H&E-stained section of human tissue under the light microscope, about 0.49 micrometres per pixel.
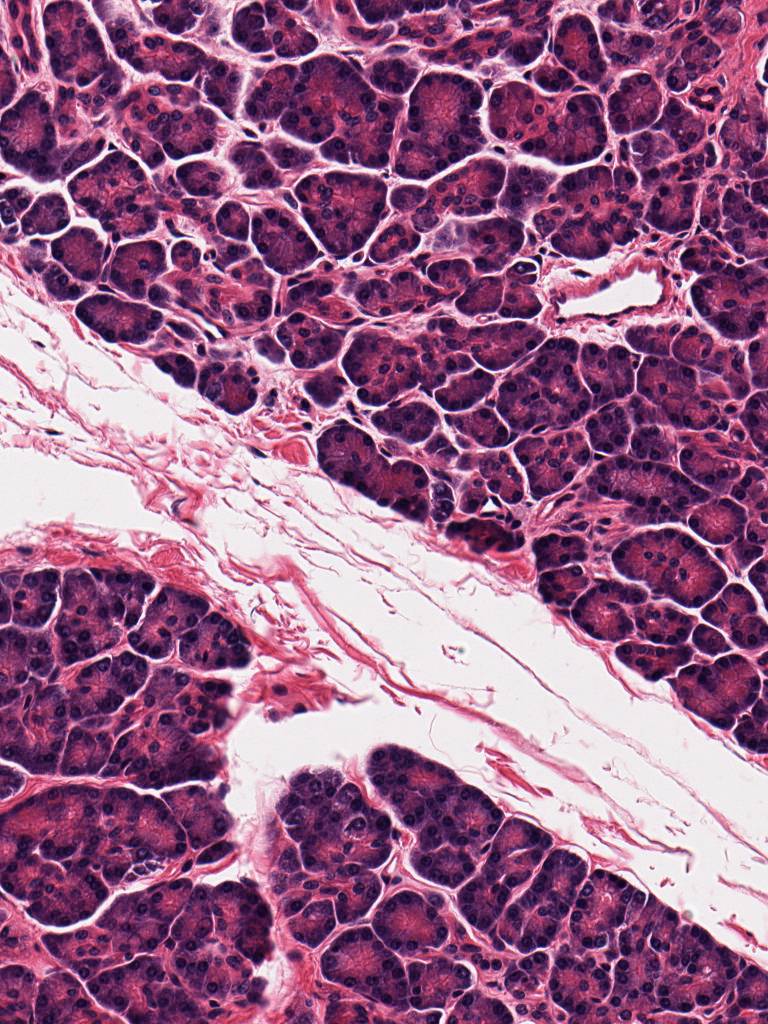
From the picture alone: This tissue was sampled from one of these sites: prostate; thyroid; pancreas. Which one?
pancreas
